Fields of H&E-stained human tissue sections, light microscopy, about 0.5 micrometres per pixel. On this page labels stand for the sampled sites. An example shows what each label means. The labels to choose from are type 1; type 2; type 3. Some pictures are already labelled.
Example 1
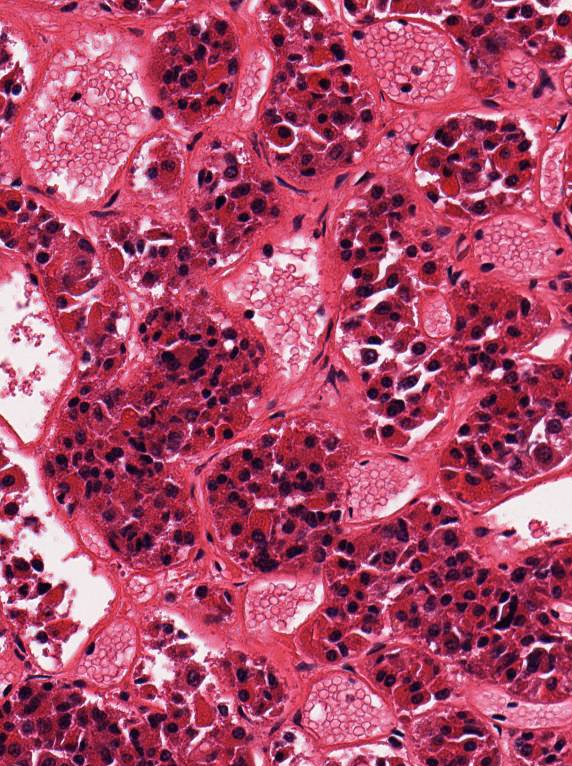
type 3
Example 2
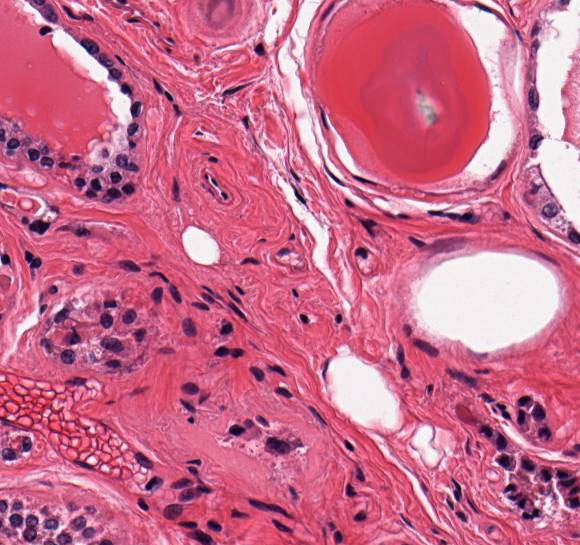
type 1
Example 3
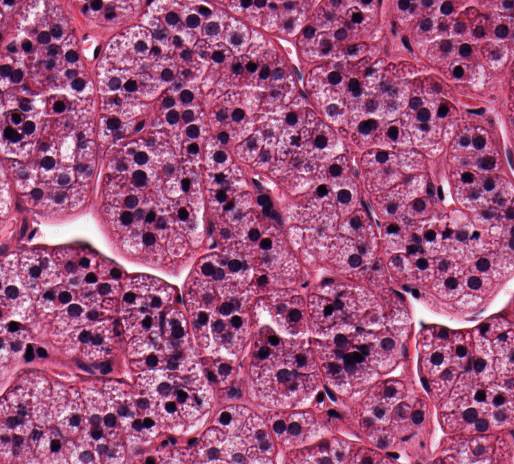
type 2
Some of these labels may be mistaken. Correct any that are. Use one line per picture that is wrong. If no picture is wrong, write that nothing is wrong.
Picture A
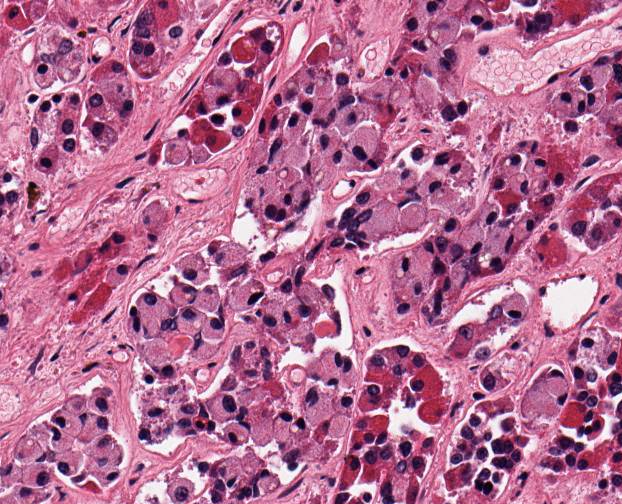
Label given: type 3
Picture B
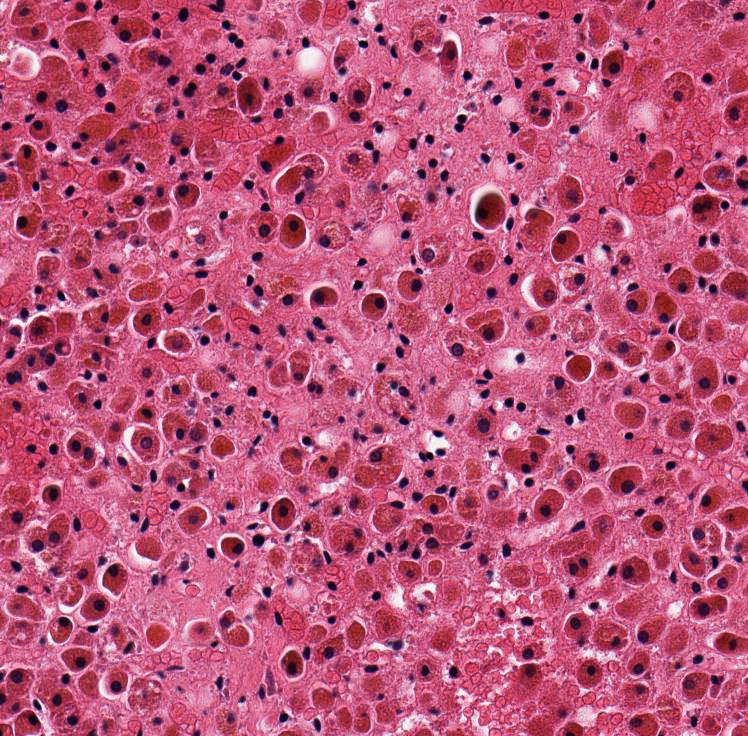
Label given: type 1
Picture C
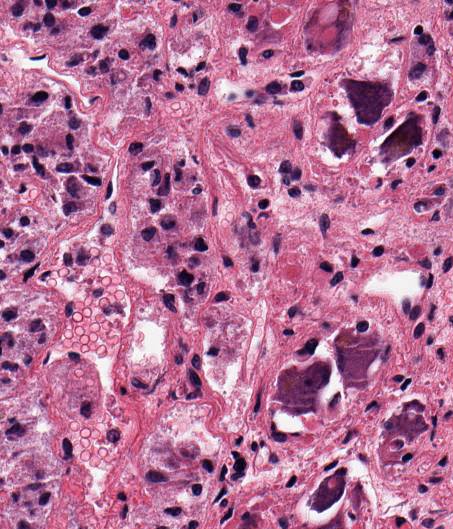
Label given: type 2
B: change type 1 to type 2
